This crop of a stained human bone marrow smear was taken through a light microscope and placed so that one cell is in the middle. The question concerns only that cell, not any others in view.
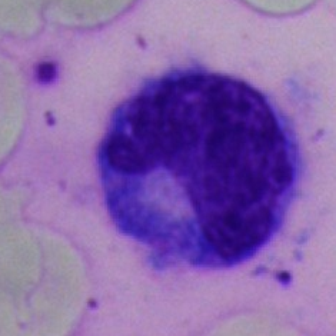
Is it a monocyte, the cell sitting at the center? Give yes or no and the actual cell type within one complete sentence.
Yes, the cell in the middle of the view is a monocyte.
